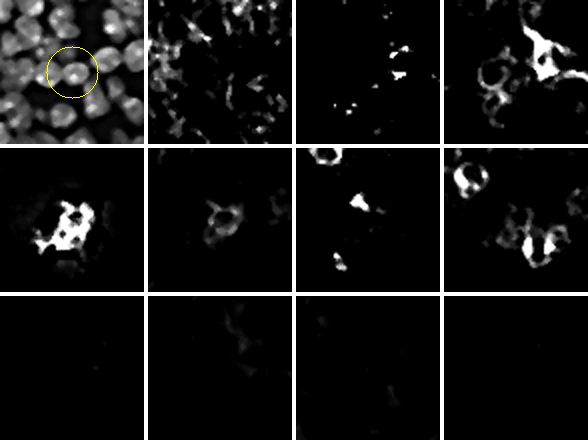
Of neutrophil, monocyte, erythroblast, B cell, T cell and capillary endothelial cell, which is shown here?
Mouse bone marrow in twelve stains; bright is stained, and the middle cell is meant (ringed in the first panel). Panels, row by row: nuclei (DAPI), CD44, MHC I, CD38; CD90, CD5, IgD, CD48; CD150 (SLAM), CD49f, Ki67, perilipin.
T cell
